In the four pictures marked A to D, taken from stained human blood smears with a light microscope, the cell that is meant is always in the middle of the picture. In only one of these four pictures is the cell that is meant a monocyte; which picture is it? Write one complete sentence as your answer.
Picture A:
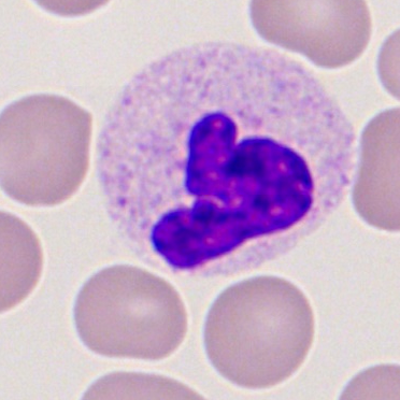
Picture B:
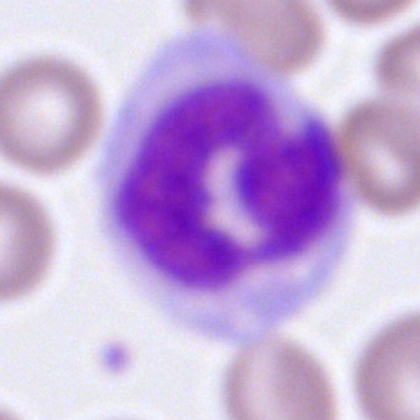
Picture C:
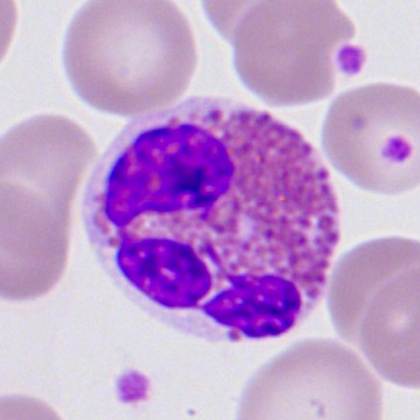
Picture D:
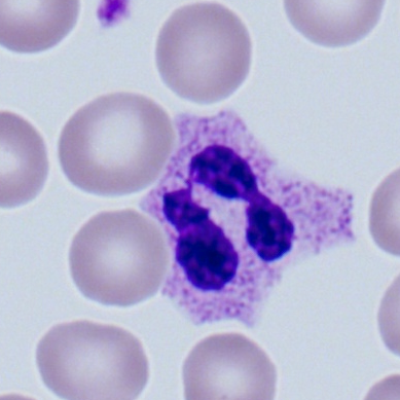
Picture B is the one that shows the monocyte.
